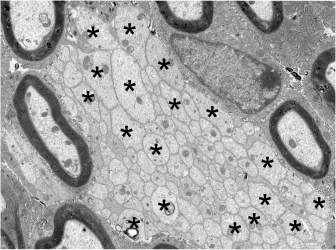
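In this cross-section of peripheral nerve, a large field of closely packed axon profiles without any dark myelin ring fills the middle, bordered by a few myelinated fibres with thick black sheaths. Among many small round axons lie several larger ones, as wide as the myelinated axons nearby, touching one another directly. An elongated nucleus of a Schwann cell lies at the upper part of the field. These are unsorted bundles of naked axons, including large axons that should have been sorted and myelinated.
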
